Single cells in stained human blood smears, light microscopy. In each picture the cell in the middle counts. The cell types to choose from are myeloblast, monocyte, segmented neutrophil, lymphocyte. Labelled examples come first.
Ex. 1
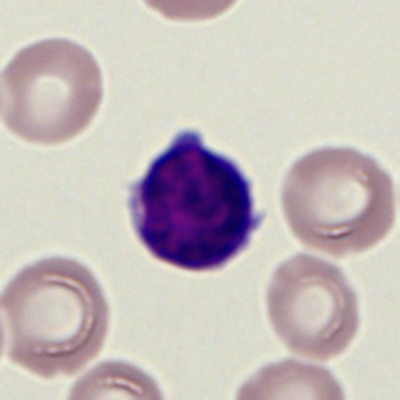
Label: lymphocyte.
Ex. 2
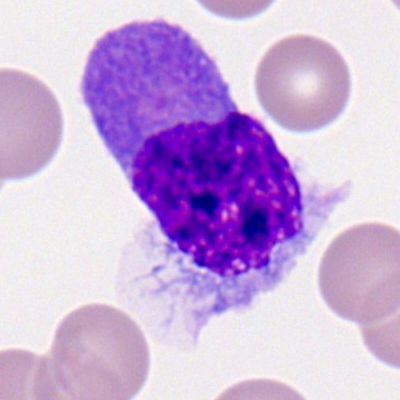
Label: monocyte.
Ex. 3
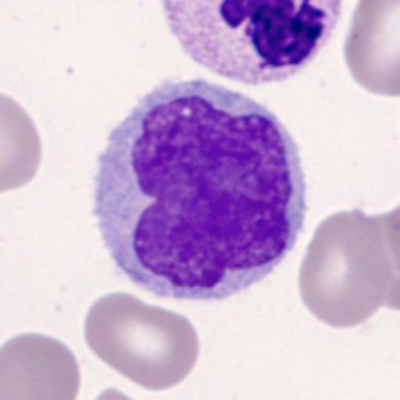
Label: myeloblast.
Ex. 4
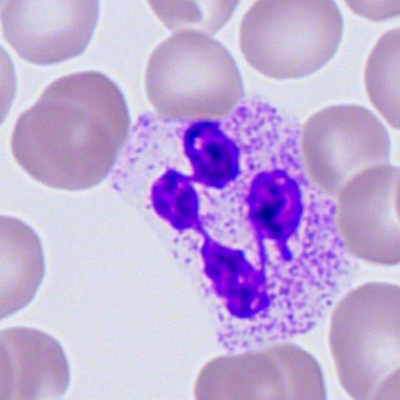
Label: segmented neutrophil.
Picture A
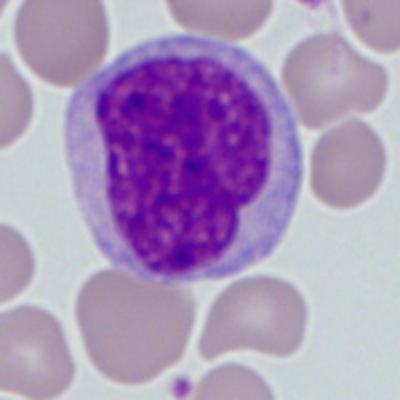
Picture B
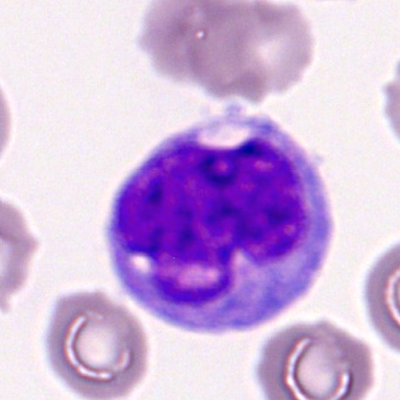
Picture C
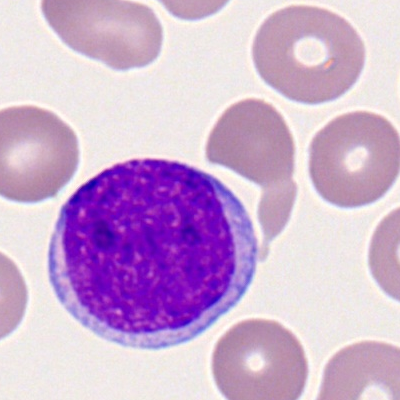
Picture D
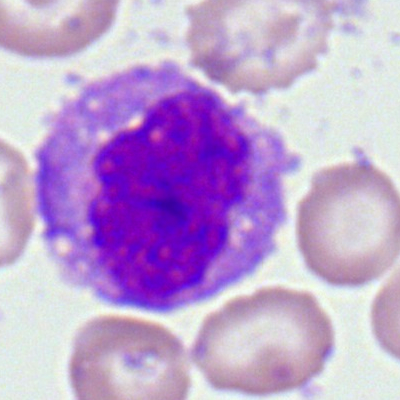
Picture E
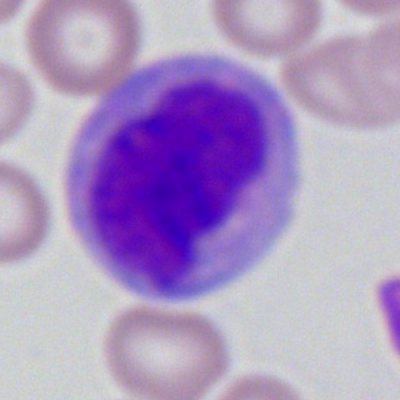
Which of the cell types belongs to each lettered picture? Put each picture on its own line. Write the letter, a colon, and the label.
A: monocyte.
B: monocyte.
C: myeloblast.
D: monocyte.
E: monocyte.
